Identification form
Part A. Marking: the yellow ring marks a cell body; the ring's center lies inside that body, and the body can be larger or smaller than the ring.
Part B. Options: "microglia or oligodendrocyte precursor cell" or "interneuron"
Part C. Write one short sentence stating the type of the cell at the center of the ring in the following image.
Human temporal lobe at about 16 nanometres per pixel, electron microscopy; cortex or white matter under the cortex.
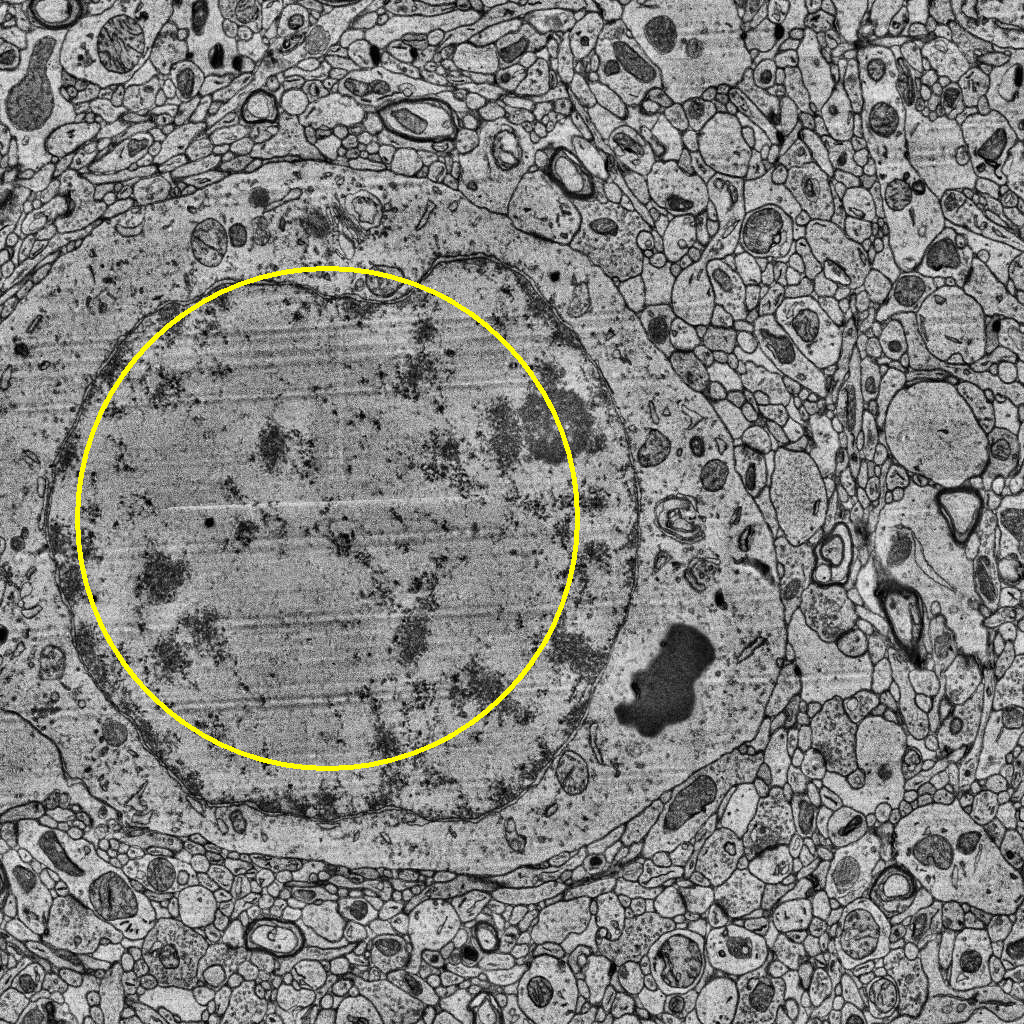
The center of the ring holds an interneuron.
